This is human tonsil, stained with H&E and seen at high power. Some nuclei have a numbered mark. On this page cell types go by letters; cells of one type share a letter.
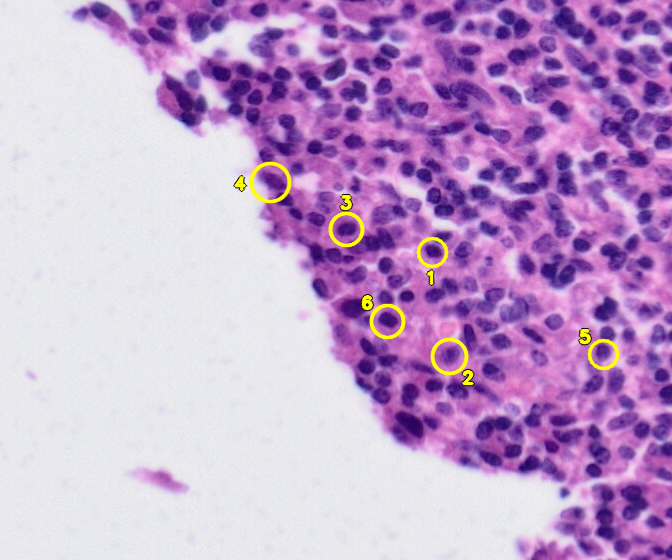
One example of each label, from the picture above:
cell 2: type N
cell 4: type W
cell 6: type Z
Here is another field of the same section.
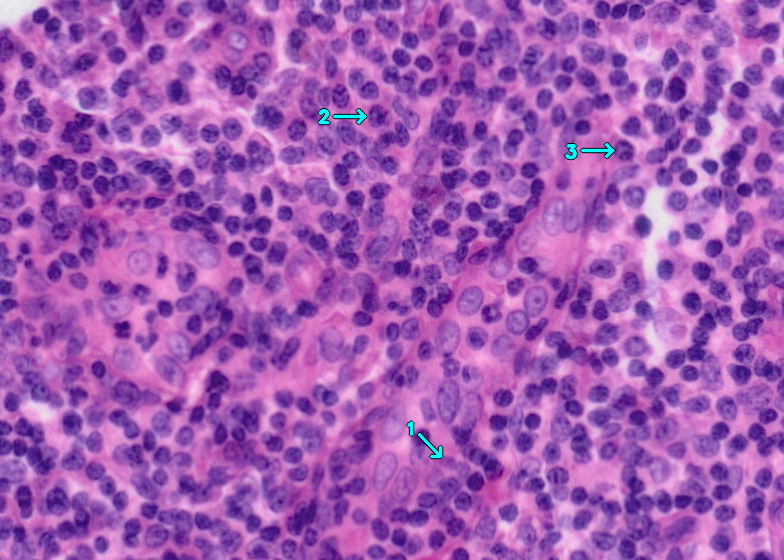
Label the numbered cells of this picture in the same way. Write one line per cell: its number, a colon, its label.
1: type N
2: type Z
3: type Z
